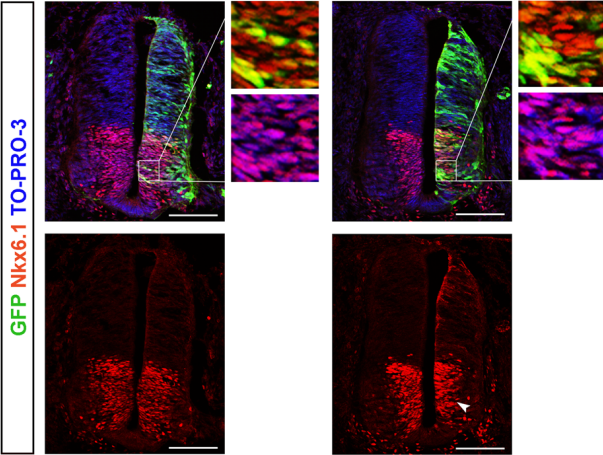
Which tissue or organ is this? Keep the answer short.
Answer: spinal cord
